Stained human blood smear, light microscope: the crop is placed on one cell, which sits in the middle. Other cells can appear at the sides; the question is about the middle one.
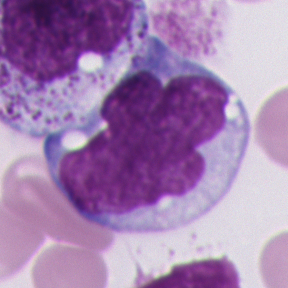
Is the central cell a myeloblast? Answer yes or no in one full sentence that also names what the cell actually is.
No, the cell in the middle of the crop counts as a monocyte and not as a myeloblast.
